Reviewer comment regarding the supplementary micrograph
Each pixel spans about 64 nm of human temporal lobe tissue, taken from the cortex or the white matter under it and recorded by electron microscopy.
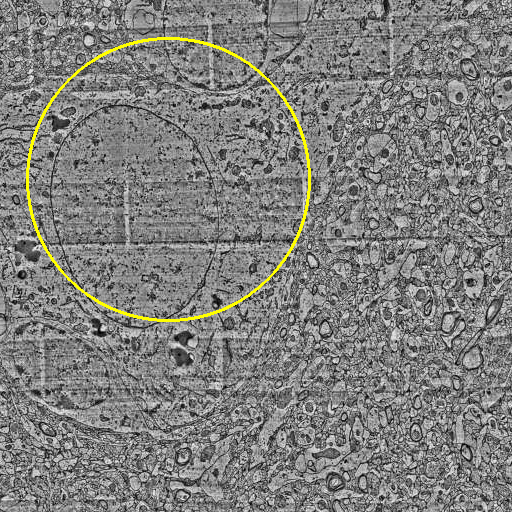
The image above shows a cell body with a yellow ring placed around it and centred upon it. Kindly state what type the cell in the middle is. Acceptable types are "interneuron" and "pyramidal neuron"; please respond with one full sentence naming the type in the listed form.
In the image above, the cell on which the yellow ring is centred is a pyramidal neuron.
